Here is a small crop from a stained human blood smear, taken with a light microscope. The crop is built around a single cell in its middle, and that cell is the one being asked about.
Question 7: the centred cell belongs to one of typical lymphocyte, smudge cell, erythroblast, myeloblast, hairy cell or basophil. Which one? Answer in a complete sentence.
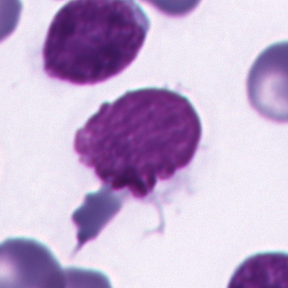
This crop has a smudge cell at its centre.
